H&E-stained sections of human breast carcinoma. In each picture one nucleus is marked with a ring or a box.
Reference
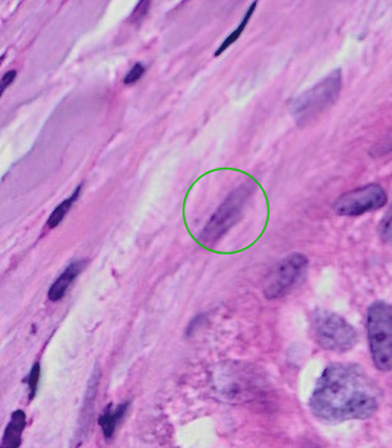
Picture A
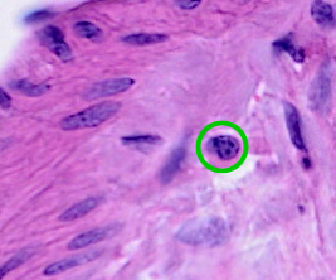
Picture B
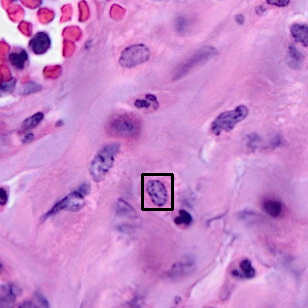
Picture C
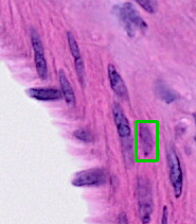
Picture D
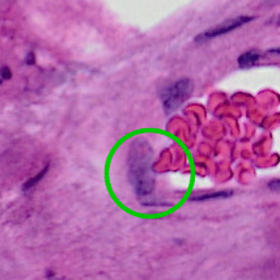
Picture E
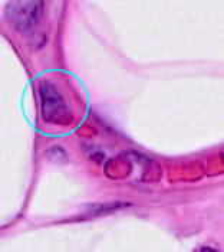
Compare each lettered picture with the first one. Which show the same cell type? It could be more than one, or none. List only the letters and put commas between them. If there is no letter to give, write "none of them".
none of them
